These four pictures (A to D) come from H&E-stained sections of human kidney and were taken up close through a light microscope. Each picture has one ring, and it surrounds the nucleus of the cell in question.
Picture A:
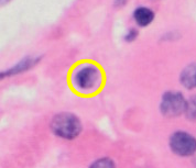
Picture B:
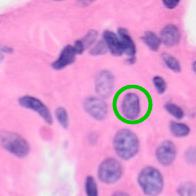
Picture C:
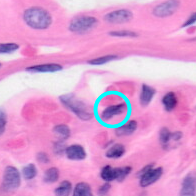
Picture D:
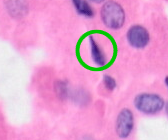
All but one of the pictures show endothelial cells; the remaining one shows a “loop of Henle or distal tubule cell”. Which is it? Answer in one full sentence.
The cell in picture B is the “loop of Henle or distal tubule cell”.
